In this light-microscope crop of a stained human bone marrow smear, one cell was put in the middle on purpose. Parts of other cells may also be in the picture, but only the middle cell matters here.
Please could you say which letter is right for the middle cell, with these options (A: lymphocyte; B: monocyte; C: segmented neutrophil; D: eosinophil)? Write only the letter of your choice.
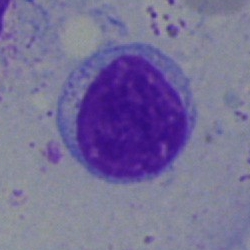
A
